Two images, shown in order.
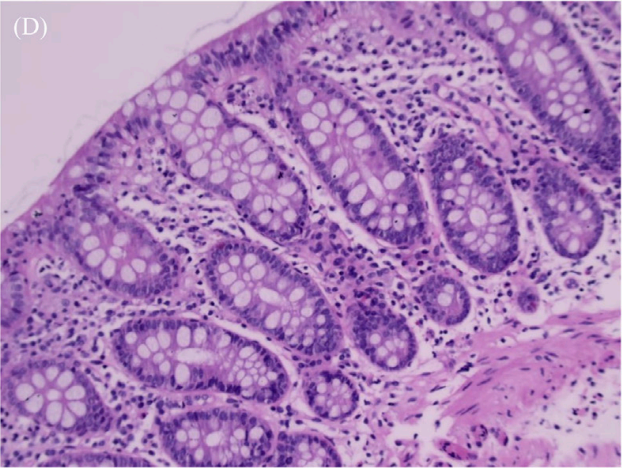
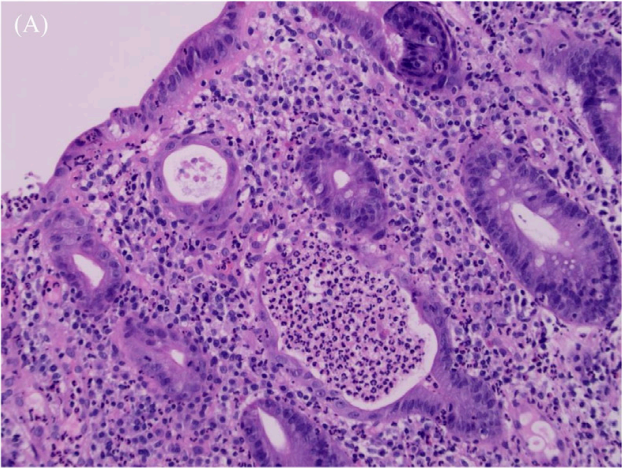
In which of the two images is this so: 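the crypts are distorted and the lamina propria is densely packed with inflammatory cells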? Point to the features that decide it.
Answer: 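The second image. First image: regular, evenly spaced crypts full of goblet cells with a sparse lamina propria infiltrate. Second image: irregular, widely separated crypts with few goblet cells and a dense cellular infiltrate, one crypt filled with inflammatory cells.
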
